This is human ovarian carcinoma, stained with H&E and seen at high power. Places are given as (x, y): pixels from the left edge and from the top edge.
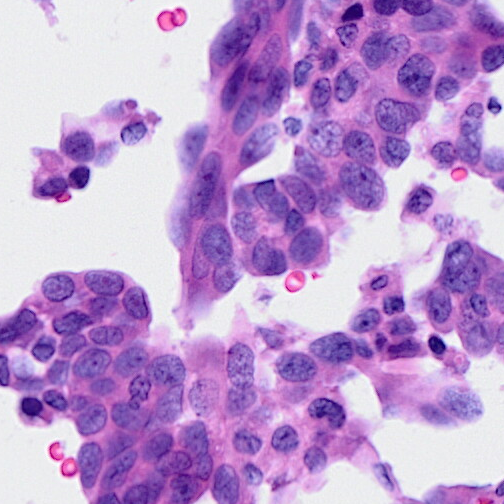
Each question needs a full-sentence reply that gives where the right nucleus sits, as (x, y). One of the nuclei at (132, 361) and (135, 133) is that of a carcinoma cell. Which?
The nucleus at (132, 361) is housed in a carcinoma cell.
